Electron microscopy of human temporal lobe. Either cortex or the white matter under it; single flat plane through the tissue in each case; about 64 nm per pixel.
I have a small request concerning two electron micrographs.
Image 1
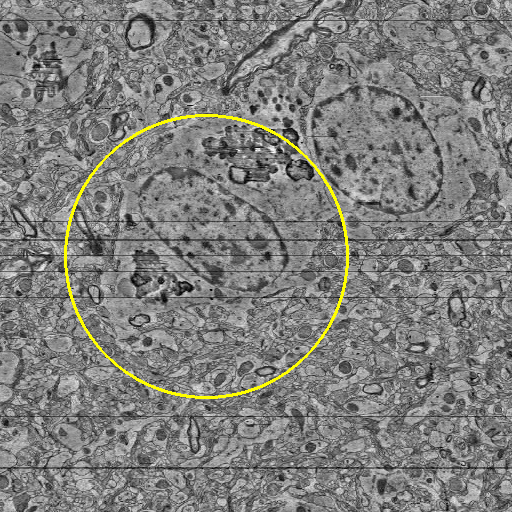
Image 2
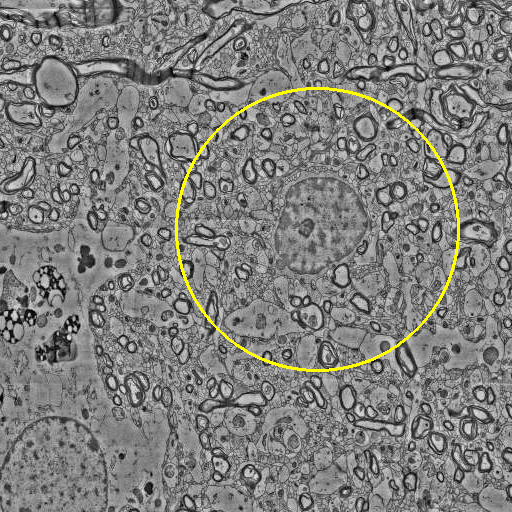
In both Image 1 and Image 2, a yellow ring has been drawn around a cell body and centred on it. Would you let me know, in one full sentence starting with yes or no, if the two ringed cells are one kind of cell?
No, the cells ringed in Image 1 and Image 2 are two kinds of cell.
